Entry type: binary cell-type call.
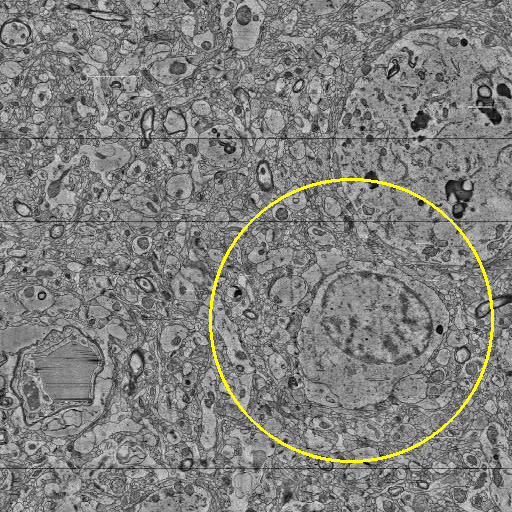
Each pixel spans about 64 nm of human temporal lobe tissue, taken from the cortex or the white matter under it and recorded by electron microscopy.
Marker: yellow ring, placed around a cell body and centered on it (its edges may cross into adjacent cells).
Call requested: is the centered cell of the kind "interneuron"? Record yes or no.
yes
